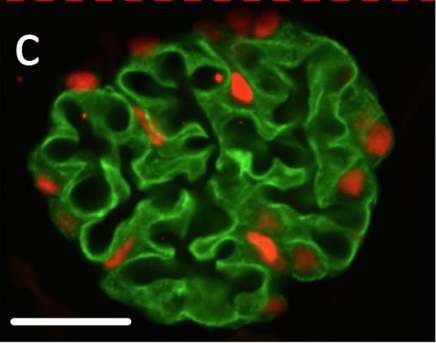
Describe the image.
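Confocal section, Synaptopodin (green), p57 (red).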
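The green label draws the outlines of many folded, looping capillary channels that fill a round tuft, leaving dark open lumens between the walls. Red oval nuclei of the podocytes lie against the outer side of these loops, several of them at the rim of the tuft. The surrounding tissue outside the tuft is almost dark.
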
